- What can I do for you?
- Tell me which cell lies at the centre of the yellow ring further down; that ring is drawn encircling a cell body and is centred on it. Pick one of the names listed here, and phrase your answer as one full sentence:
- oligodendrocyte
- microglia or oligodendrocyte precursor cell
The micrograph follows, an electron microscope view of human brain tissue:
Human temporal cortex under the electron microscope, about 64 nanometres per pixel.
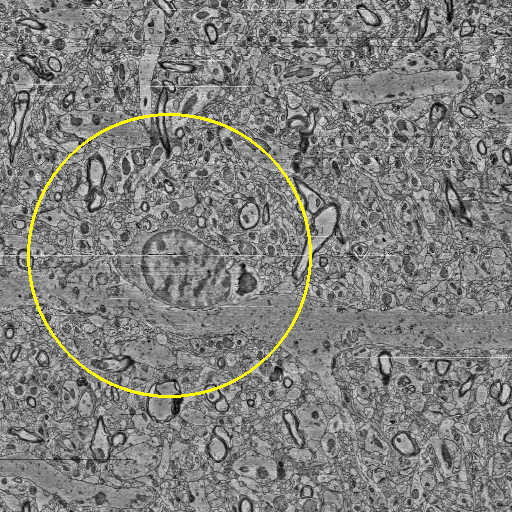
The cell whose body lies at the centre of the yellow ring is an oligodendrocyte.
